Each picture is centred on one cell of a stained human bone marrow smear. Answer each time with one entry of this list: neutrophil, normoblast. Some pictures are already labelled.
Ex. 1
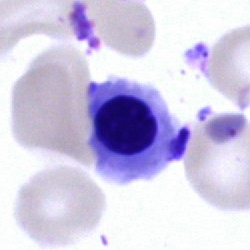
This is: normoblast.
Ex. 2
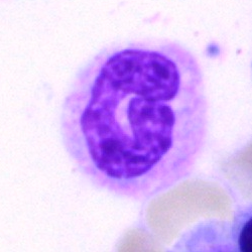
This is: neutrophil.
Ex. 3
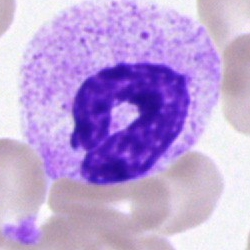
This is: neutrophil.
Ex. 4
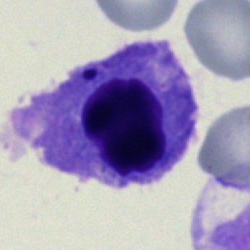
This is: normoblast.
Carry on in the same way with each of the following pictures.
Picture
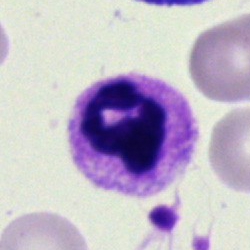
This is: neutrophil.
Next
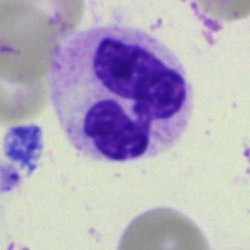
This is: neutrophil.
